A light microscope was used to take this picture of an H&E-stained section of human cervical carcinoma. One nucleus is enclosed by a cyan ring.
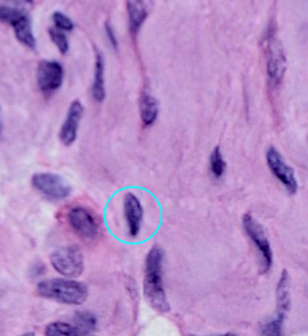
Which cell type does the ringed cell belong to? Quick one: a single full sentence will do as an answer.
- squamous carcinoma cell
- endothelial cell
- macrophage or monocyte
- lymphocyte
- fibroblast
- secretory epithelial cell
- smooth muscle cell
At the level of cell identity, the ringed cell is a fibroblast.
